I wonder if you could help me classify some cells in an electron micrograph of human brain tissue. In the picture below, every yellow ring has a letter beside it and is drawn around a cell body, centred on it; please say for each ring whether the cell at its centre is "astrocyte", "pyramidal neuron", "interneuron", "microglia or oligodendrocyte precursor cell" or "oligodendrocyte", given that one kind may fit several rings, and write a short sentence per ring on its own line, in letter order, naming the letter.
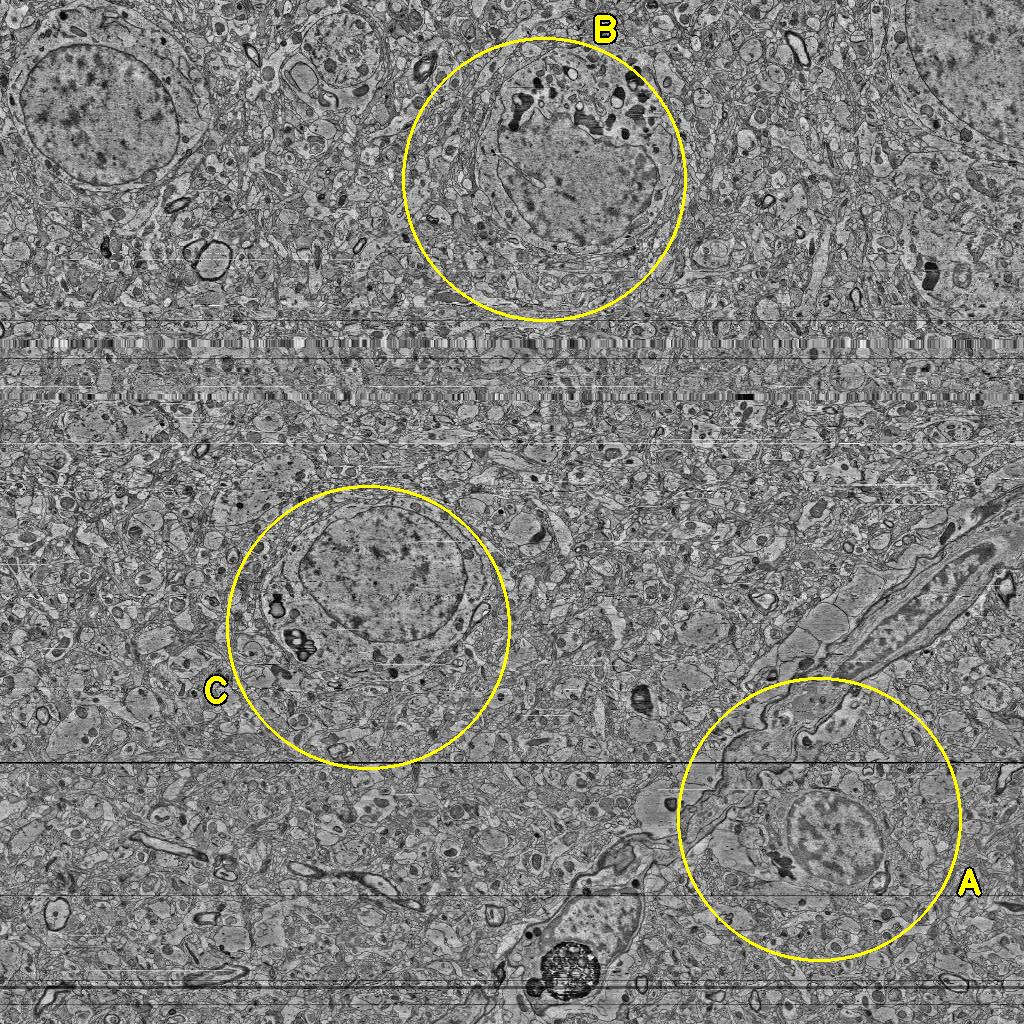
Centred in ring A is an oligodendrocyte.
Centred in ring B is an interneuron.
Centred in ring C is a pyramidal neuron.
